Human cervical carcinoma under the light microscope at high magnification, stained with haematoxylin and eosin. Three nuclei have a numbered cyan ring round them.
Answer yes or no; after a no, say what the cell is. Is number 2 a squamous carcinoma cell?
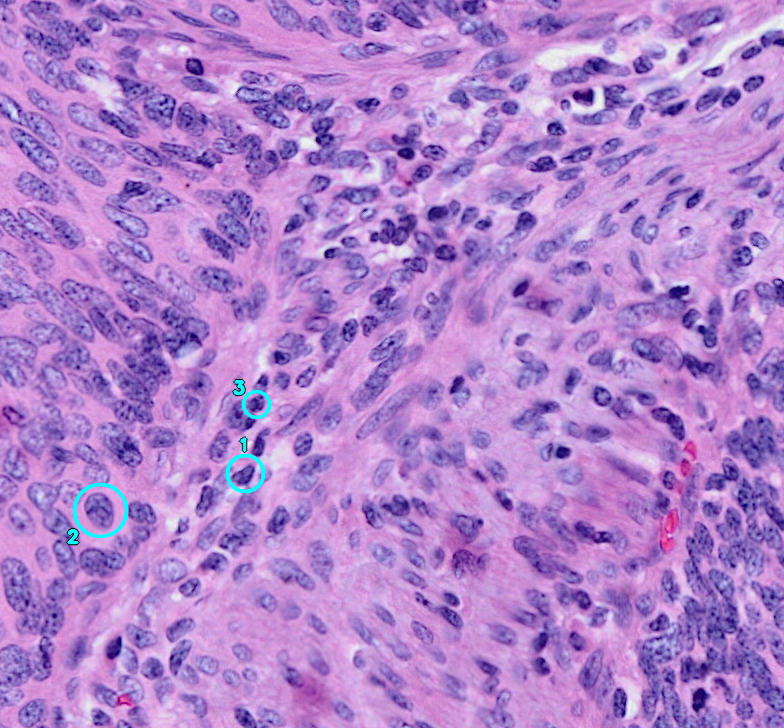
Yes.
